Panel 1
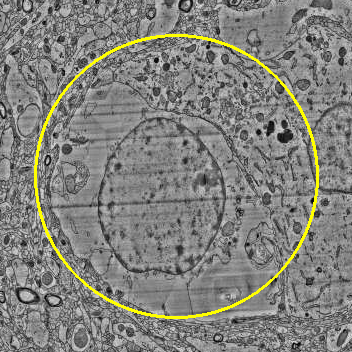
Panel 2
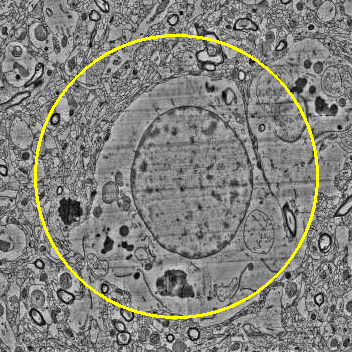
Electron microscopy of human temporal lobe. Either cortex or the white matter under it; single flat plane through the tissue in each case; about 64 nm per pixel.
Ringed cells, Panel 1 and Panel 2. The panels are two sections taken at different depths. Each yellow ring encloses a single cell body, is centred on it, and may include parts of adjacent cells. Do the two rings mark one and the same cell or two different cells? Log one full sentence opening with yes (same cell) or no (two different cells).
No, the cells inside the two rings are not the same cell.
